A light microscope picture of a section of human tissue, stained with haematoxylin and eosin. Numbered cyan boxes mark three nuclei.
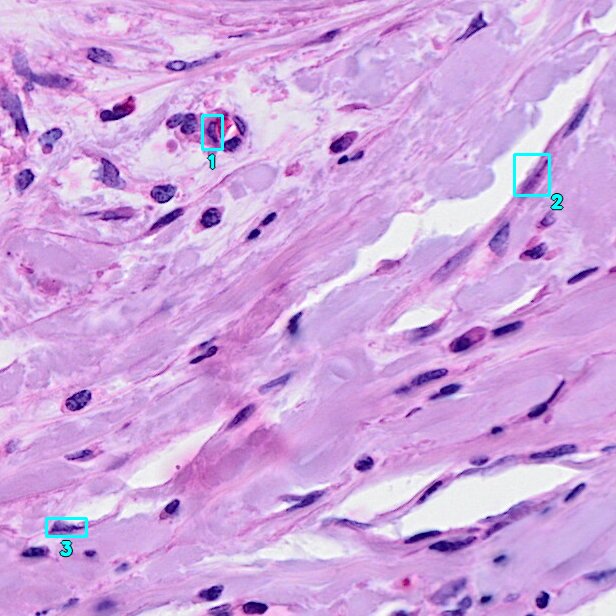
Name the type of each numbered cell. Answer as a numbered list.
1. endothelial cell
2. fibroblast
3. fibroblast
